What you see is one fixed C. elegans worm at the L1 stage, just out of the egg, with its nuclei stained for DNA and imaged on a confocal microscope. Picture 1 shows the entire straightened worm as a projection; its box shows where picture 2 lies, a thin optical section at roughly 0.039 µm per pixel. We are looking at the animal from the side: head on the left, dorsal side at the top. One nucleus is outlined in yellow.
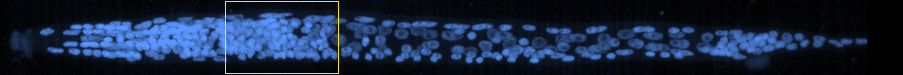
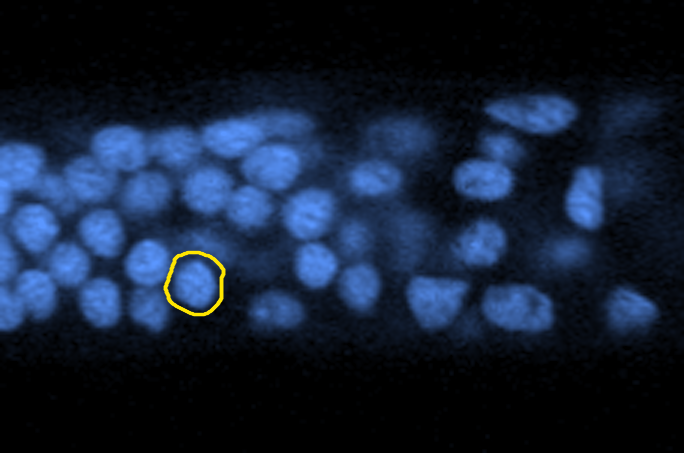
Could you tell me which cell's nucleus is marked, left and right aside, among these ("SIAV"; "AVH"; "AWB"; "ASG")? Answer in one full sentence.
The marked nucleus is that of SIAV, a neuron.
